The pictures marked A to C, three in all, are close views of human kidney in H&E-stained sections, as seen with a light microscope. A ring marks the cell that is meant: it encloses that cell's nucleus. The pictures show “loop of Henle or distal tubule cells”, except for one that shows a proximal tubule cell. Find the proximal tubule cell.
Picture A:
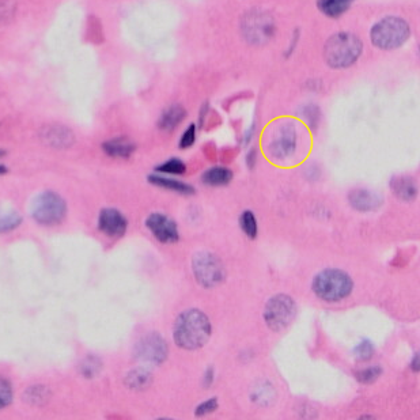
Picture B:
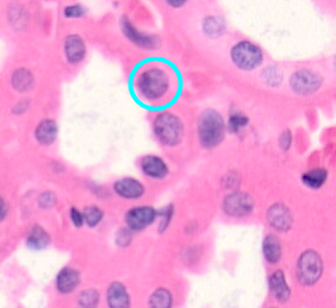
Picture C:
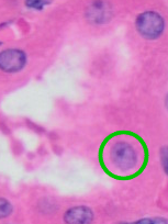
C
